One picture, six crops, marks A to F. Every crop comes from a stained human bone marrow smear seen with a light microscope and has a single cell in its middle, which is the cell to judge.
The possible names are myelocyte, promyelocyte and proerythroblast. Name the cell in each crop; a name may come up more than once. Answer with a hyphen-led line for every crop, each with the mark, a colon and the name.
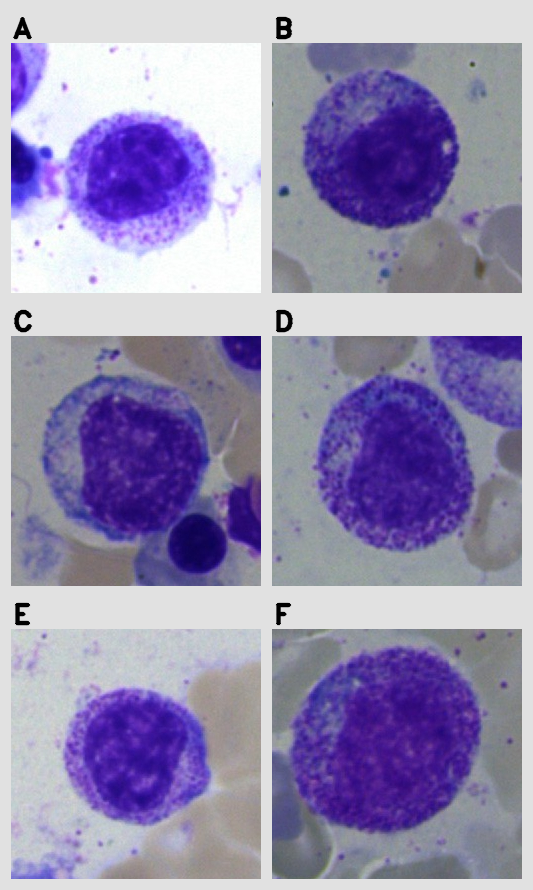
- A: myelocyte
- B: myelocyte
- C: myelocyte
- D: myelocyte
- E: myelocyte
- F: promyelocyte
